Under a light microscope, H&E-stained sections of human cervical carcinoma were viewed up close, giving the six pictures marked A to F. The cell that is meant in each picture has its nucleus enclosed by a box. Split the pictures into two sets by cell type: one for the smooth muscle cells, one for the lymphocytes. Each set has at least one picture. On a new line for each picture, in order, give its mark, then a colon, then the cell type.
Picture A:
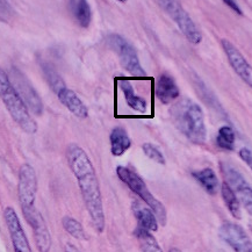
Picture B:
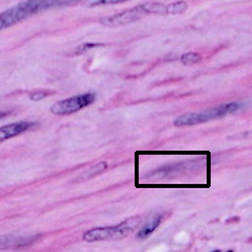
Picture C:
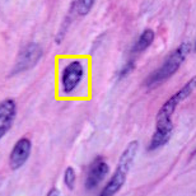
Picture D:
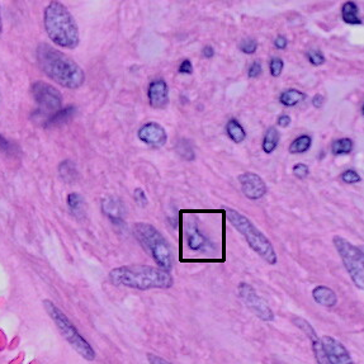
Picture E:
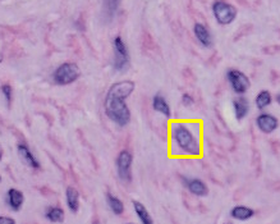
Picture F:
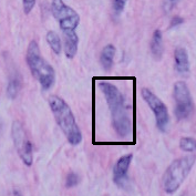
A: lymphocyte
B: smooth muscle cell
C: lymphocyte
D: smooth muscle cell
E: smooth muscle cell
F: smooth muscle cell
